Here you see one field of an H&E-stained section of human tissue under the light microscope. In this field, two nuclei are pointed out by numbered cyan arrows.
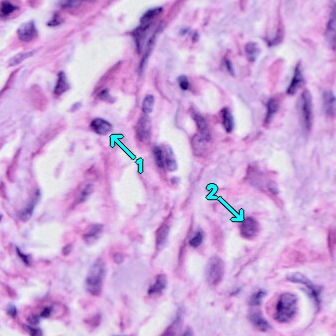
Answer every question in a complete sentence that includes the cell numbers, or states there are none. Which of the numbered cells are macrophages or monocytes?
Cell 2 is a macrophage or monocyte; no further numbered cell is.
